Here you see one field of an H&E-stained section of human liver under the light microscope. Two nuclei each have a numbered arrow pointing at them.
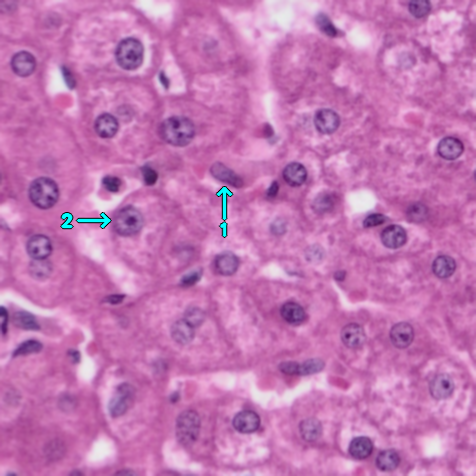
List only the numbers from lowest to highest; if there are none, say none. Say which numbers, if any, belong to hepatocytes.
2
